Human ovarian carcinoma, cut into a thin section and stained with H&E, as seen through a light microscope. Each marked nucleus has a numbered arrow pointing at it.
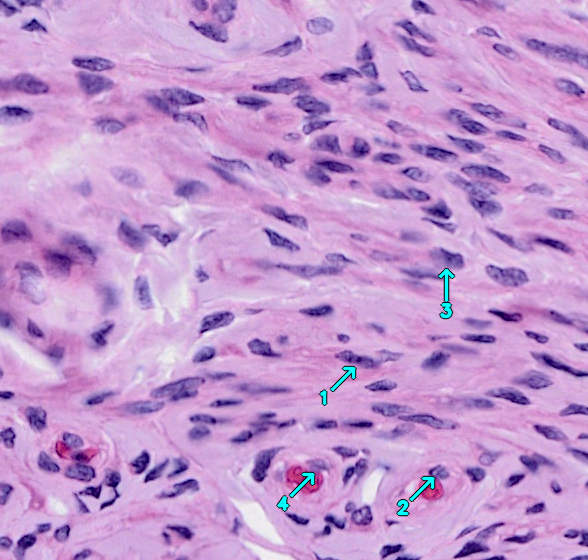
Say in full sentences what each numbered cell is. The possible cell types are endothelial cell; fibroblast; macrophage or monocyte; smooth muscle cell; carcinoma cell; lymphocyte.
Cell 1 is a smooth muscle cell, cell 2 is an endothelial cell, cell 3 is a fibroblast and cell 4 is an endothelial cell.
